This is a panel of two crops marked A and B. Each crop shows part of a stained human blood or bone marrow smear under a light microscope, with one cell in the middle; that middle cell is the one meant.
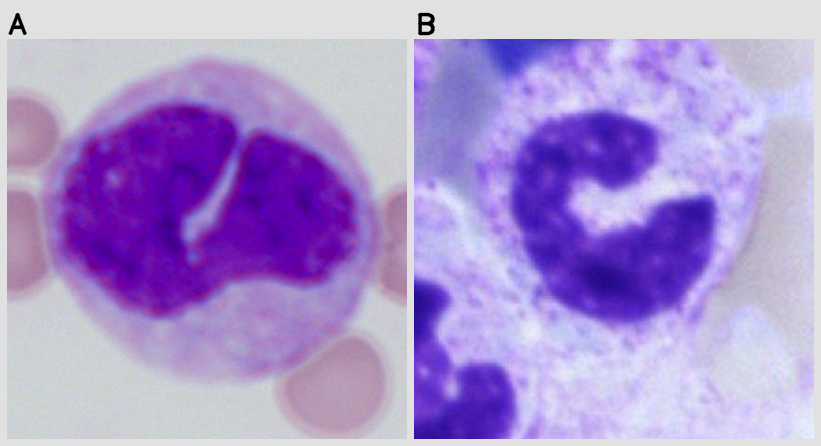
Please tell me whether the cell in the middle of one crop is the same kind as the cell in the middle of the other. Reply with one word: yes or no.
no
